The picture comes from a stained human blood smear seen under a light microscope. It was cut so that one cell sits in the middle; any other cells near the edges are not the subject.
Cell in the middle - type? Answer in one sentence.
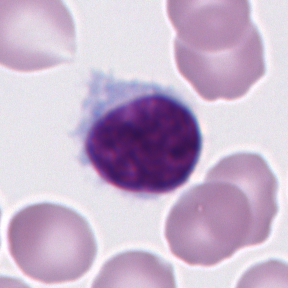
On this slide crop, the central cell is a hairy cell.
